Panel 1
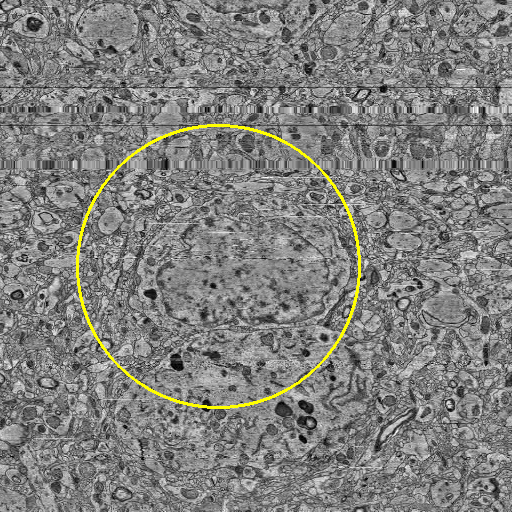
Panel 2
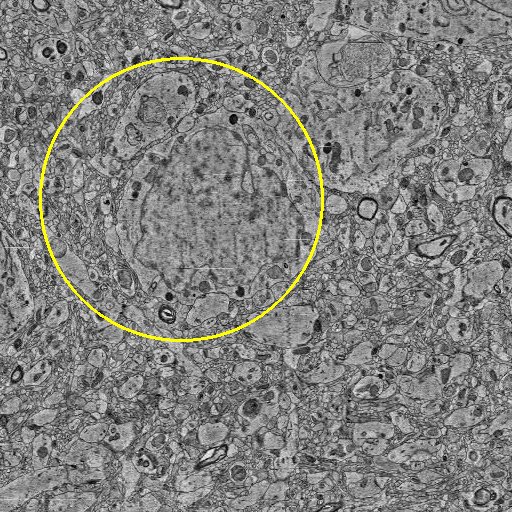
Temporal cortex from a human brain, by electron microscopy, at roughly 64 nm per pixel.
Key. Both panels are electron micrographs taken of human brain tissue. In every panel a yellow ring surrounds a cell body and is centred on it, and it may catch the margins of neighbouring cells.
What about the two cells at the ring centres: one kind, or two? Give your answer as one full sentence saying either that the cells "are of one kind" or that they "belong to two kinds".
Across Panels 1 and 2, the two cells at the ring centres are of one kind.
